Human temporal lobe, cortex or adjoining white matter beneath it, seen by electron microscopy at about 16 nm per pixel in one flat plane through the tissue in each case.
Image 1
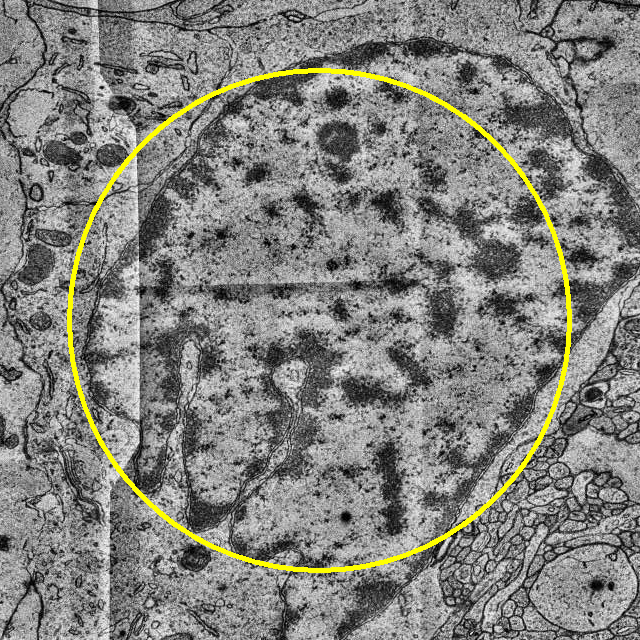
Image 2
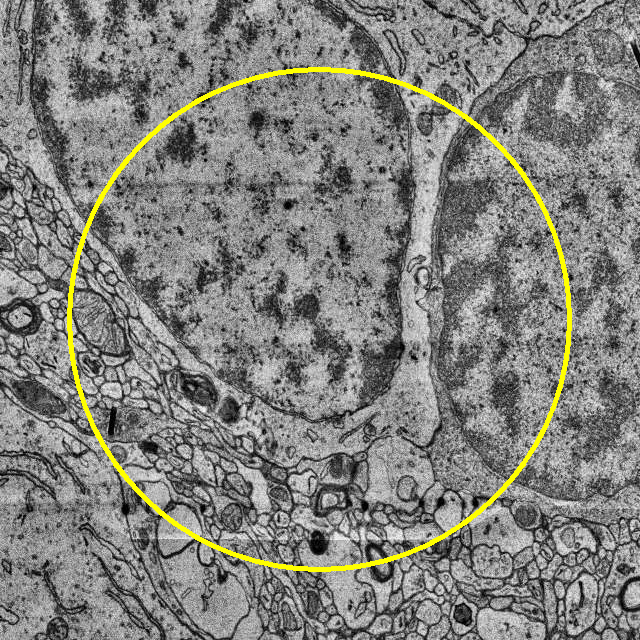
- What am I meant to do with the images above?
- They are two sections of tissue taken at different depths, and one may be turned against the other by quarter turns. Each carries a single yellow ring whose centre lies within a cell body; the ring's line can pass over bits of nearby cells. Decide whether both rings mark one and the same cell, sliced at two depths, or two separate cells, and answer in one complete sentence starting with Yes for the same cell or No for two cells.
No, the rings single out two cells that are separate from each other.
